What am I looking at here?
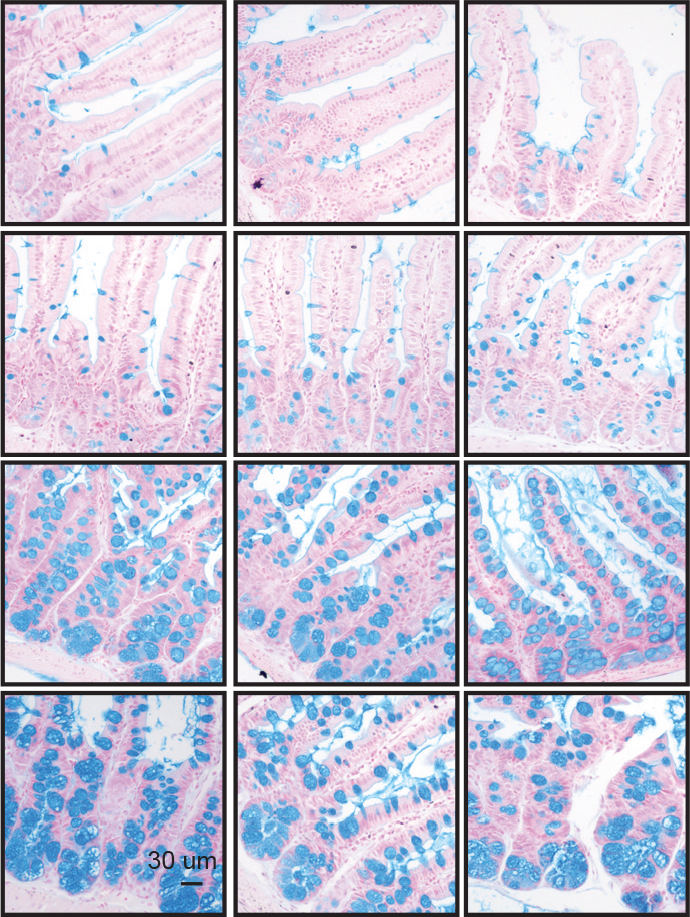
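Small intestinal mucosa with finger-like villi and underlying crypts, counterstained pink, in which mucin-secreting cells stand out as blue-stained rounded cups within the epithelium. In the upper two rows these cells are small and sparse along the villi, whereas in the lower two rows they are large, rounded and densely crowded in the crypts and along the villi, with blue mucus also lying in the lumen.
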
